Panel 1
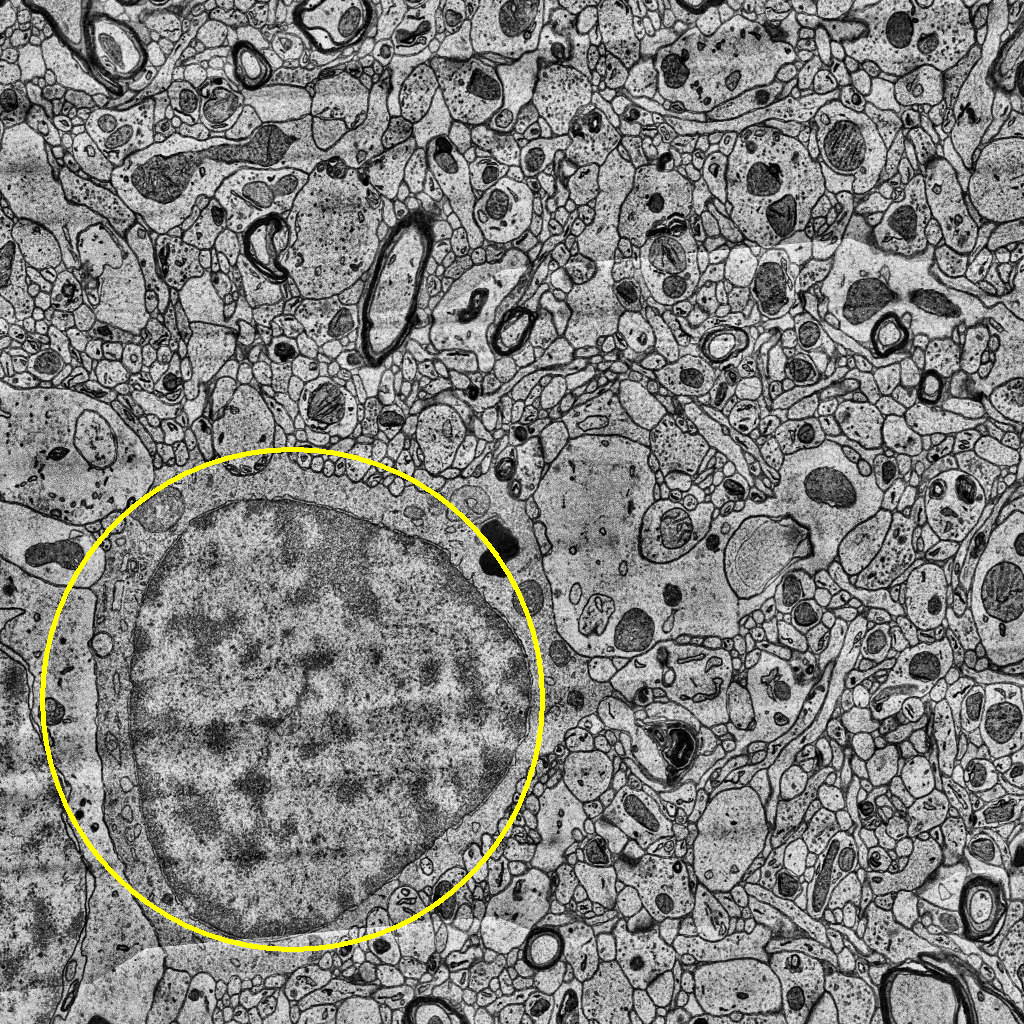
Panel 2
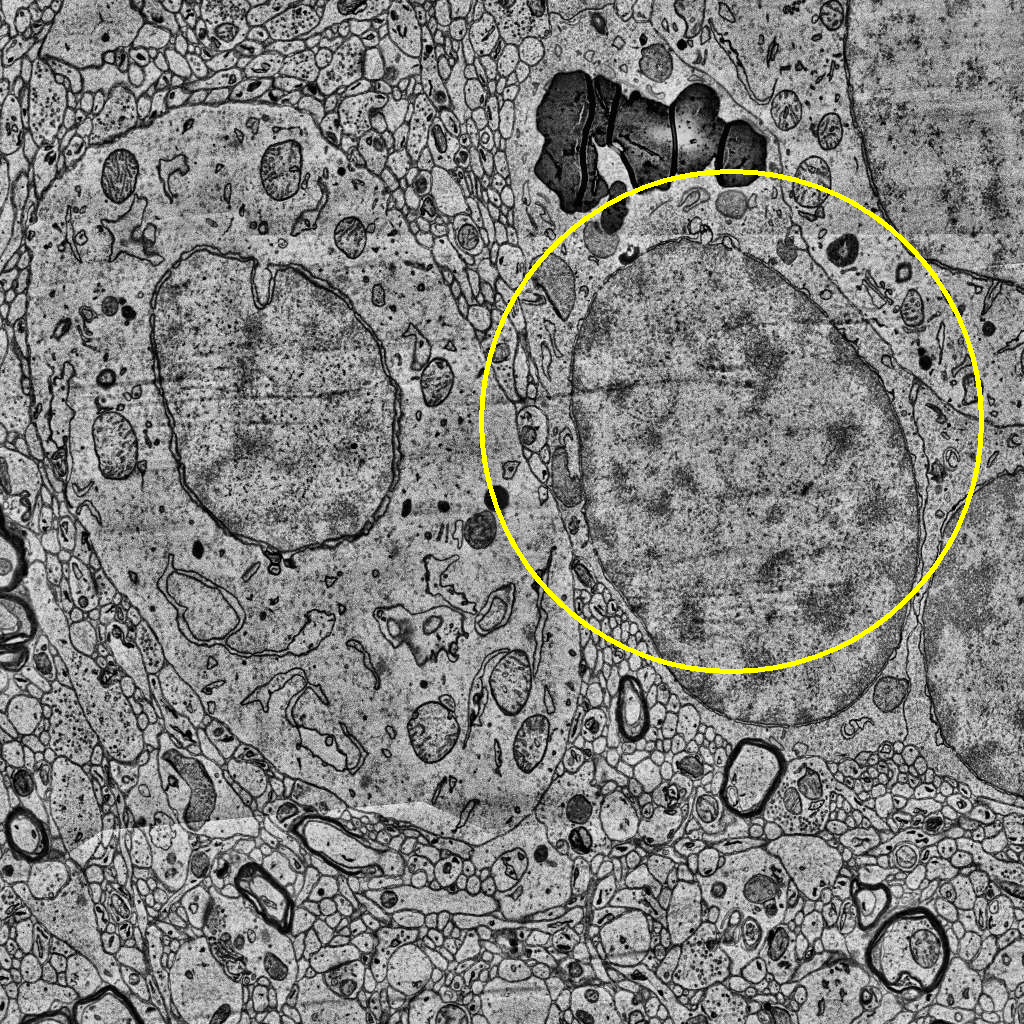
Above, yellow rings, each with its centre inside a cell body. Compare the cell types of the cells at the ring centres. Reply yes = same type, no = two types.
yes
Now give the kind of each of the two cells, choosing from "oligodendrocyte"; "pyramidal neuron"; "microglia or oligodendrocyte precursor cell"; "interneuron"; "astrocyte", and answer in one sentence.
Each cell at the centre of a ring is an oligodendrocyte.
